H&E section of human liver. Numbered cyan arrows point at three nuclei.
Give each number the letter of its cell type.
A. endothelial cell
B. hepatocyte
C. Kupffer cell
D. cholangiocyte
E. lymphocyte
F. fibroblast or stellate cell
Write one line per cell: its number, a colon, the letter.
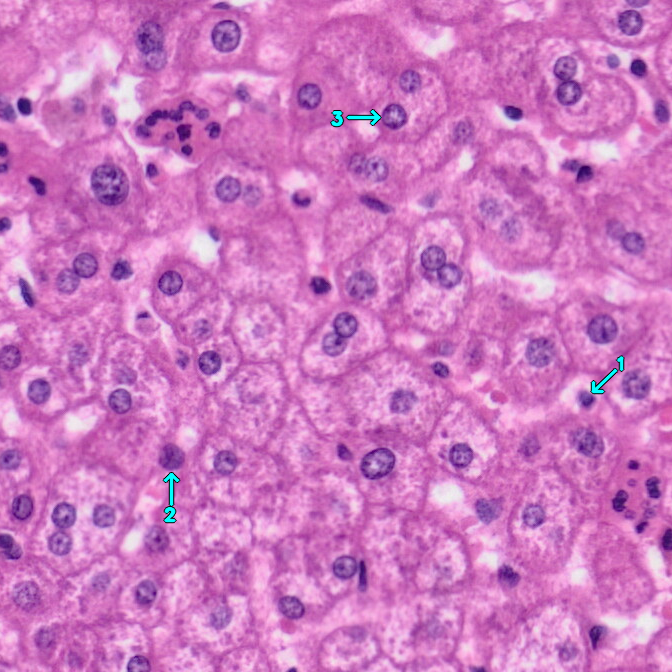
1: E
2: A
3: B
